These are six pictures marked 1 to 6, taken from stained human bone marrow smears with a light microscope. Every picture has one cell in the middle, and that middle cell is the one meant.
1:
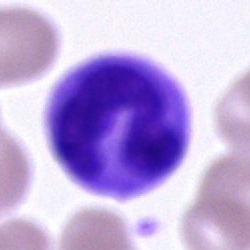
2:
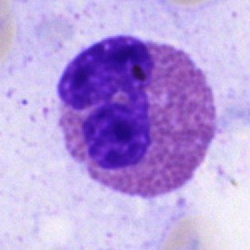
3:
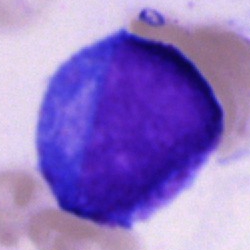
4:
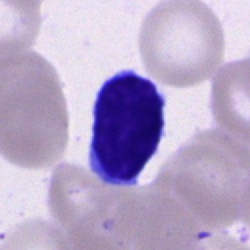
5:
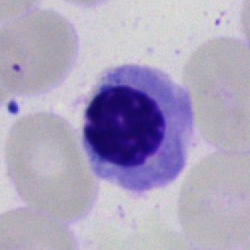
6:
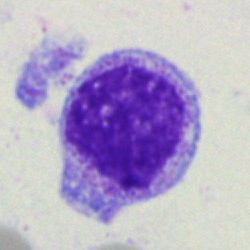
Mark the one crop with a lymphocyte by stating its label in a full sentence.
On review of the set, crop 4 is the one showing a lymphocyte.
